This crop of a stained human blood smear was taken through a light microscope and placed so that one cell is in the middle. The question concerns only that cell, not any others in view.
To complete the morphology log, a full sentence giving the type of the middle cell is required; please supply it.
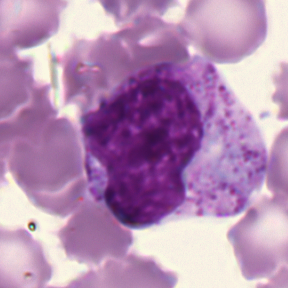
The centered cell in this crop is a metamyelocyte.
